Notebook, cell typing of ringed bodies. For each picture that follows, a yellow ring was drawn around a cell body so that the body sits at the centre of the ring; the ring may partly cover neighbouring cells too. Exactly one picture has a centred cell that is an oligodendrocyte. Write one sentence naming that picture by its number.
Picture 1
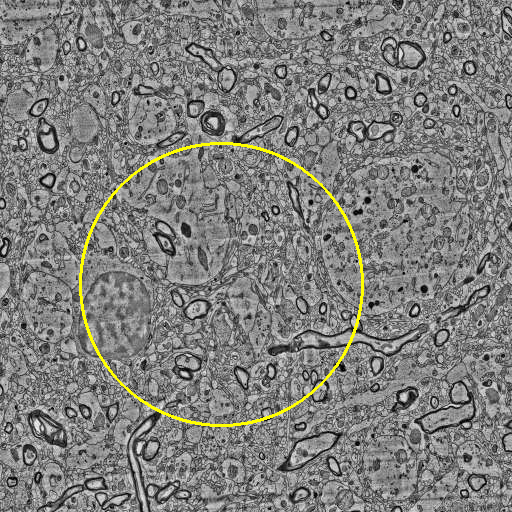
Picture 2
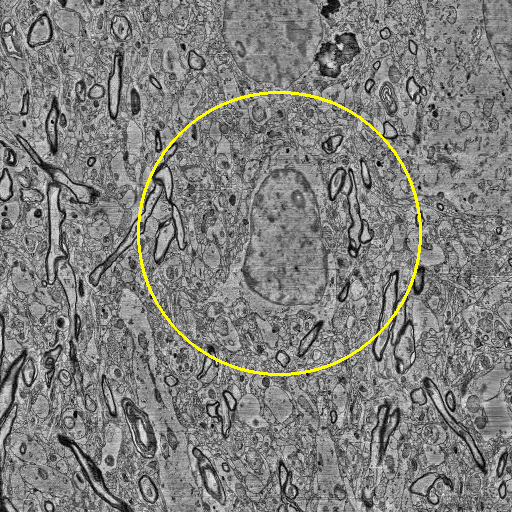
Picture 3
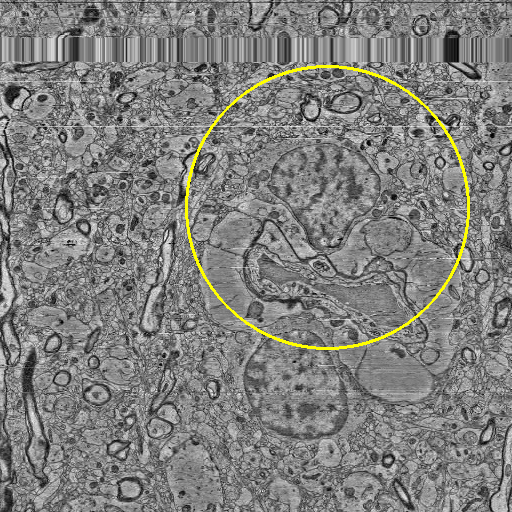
Picture 3 is the one with it at the centre of its ring.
